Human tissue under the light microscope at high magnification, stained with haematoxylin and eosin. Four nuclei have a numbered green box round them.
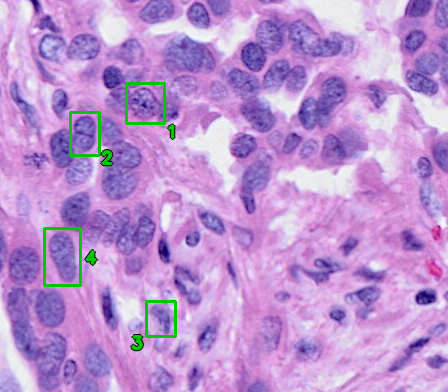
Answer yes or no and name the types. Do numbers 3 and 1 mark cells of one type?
No, the cell marked 3 is a fibroblast, and the cell marked 1 is a carcinoma cell.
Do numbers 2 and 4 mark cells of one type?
Yes, by cell type, cells 2 and 4 are both carcinoma cells.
